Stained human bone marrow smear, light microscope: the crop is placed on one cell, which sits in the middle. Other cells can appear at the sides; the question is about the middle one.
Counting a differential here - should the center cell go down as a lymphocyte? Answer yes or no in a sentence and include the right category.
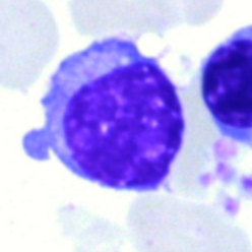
Yes, the cell of interest in the centre is a lymphocyte.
